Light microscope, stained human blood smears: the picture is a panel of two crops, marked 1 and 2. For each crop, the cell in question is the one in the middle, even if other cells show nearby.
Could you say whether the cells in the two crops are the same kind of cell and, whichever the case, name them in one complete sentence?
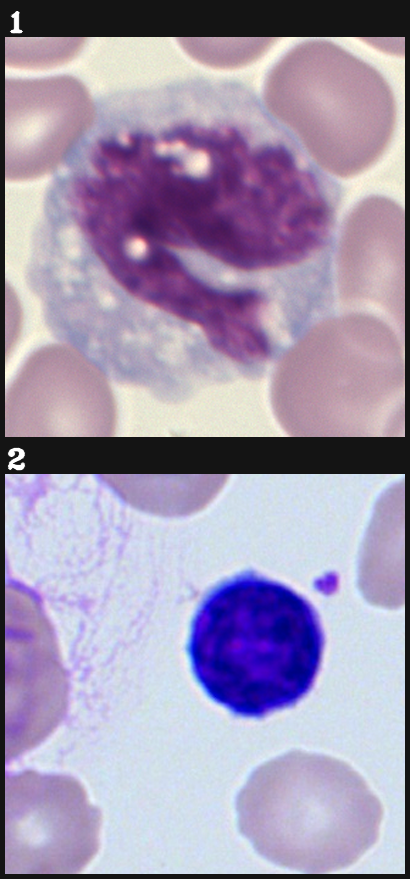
No, crop 1 presents a monocyte; crop 2 presents a lymphocyte.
